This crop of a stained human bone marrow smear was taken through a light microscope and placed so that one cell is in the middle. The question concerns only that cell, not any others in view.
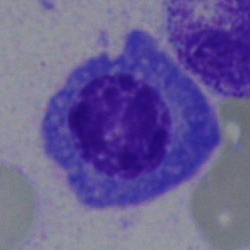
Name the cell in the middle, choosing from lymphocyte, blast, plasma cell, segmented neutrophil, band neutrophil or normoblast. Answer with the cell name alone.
plasma cell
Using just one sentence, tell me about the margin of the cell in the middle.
Seen at its edge, the cell is not smooth but ragged or projecting.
